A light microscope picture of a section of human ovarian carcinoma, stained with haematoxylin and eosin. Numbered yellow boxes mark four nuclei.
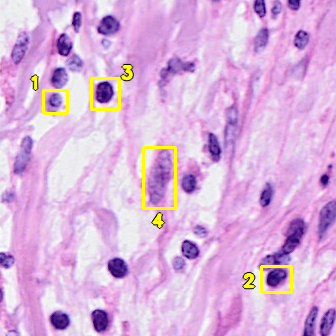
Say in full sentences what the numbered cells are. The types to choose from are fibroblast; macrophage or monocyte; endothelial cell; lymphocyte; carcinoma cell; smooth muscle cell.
Cell 1 is a lymphocyte, cell 2 is a lymphocyte, cell 3 is a lymphocyte and cell 4 is a fibroblast.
